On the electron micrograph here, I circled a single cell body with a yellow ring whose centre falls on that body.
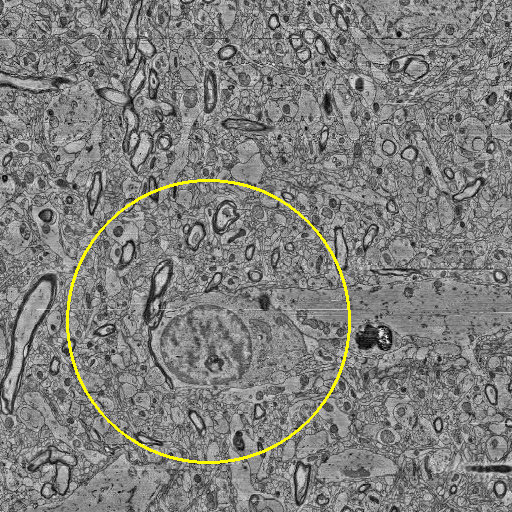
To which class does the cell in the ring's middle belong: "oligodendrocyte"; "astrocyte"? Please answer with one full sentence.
In this picture, the cell body circled at the ring's centre belongs to an oligodendrocyte.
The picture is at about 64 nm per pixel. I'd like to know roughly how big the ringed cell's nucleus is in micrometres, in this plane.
In this plane the nucleus measures roughly 6 micrometres across.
